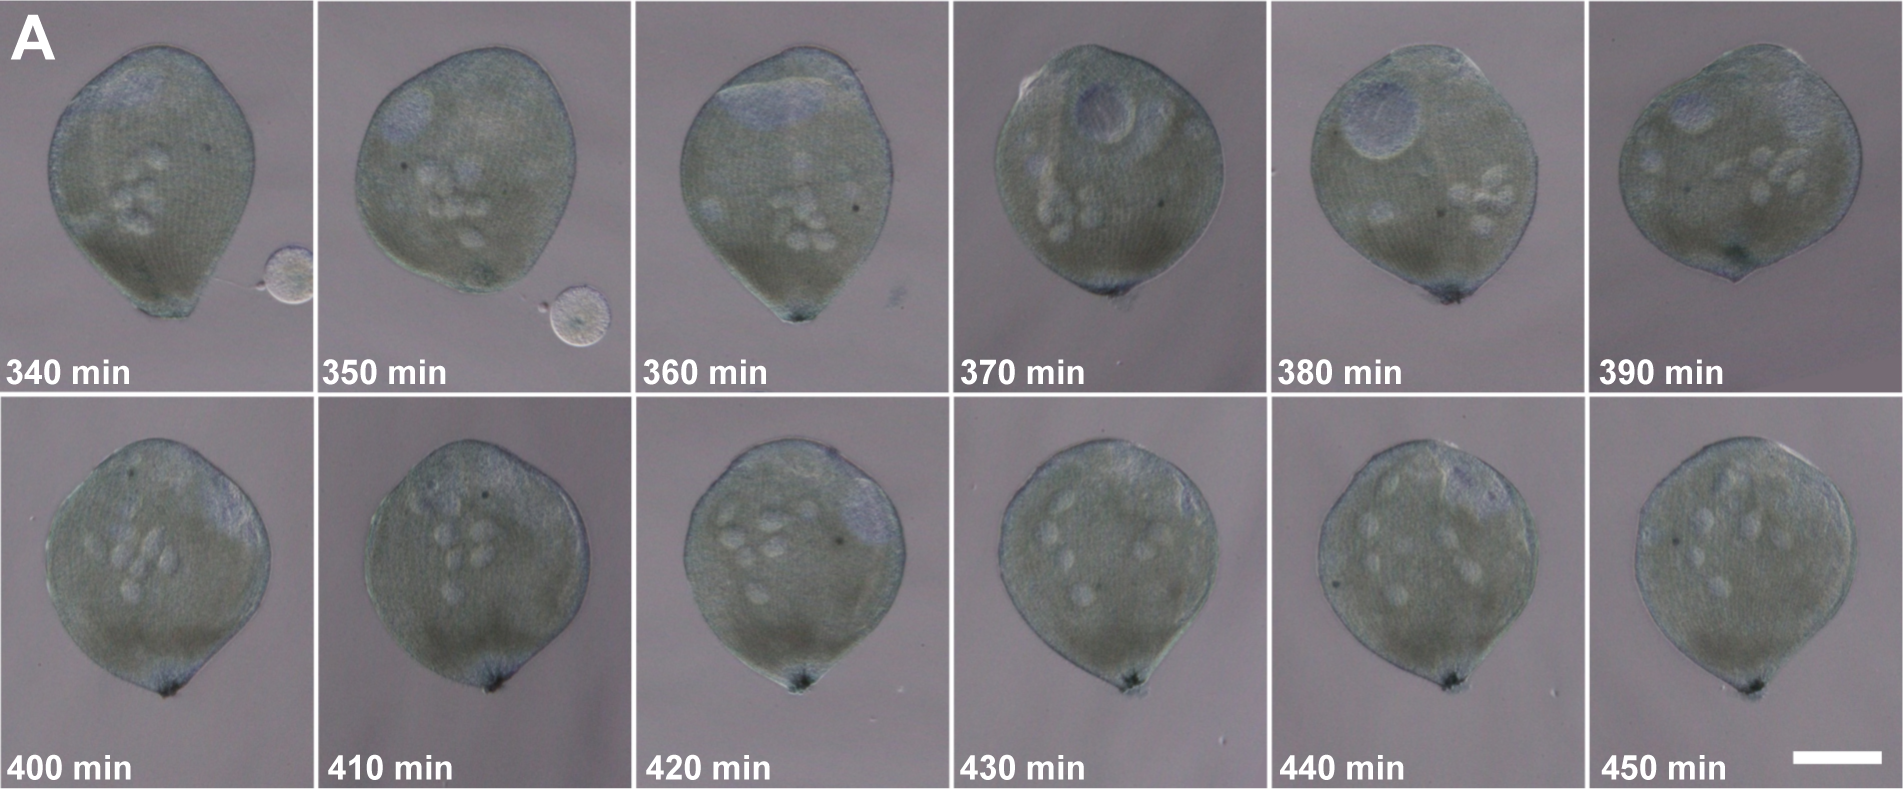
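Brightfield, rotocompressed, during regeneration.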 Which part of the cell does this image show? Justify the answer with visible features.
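Macronuclear nodes. Pale oval bodies lie grouped in the middle of a rounded cell. In later frames the oval bodies are spread further apart.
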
